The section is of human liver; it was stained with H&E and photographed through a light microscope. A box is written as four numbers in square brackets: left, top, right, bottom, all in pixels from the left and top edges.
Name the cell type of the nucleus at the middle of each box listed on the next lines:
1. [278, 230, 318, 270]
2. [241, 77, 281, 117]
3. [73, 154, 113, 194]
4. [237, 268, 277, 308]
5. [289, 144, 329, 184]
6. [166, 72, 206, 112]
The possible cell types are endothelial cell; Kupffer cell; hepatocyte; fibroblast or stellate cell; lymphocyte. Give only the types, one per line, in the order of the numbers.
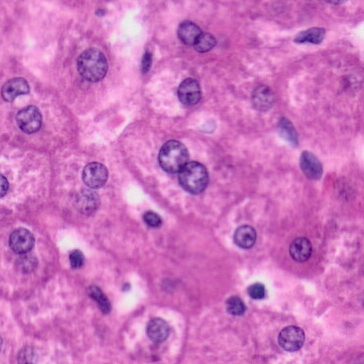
hepatocyte
hepatocyte
hepatocyte
lymphocyte
endothelial cell
hepatocyte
